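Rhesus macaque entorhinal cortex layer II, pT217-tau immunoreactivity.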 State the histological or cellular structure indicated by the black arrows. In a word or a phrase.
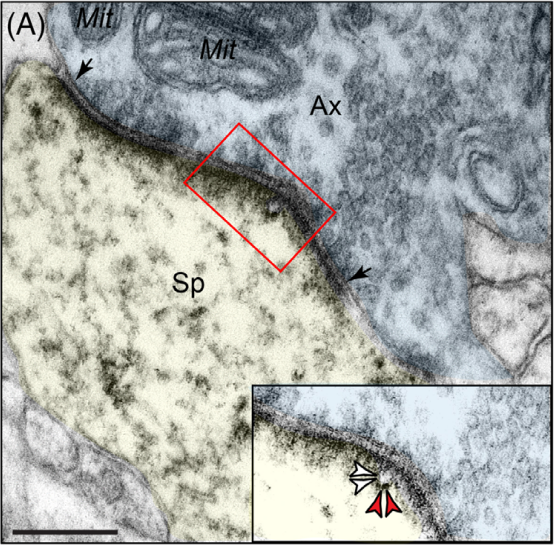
Synapse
